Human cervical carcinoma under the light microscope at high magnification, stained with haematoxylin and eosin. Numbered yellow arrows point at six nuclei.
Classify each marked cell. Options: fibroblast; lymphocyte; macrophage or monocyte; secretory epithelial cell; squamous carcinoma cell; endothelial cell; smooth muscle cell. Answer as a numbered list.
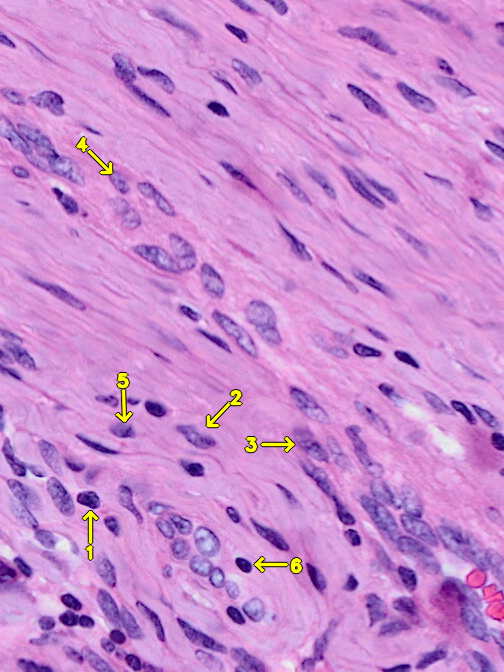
1. lymphocyte
2. fibroblast
3. smooth muscle cell
4. smooth muscle cell
5. fibroblast
6. lymphocyte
